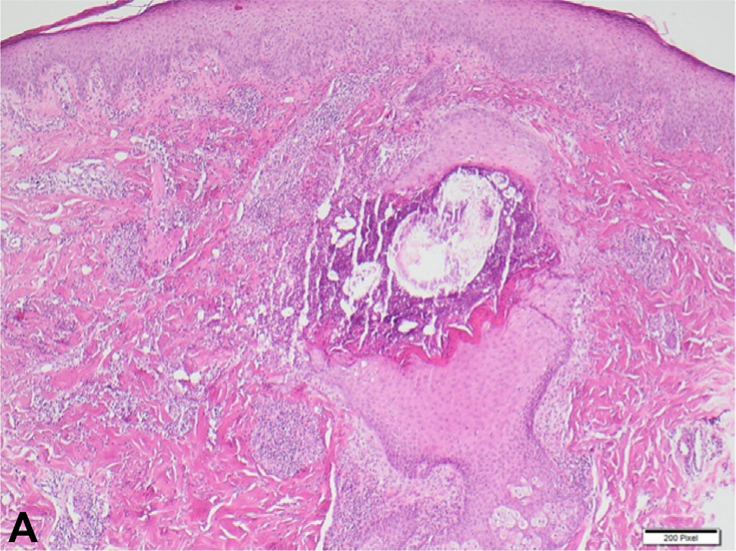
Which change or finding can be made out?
Abscessing folliculitis and perifolliculitis.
